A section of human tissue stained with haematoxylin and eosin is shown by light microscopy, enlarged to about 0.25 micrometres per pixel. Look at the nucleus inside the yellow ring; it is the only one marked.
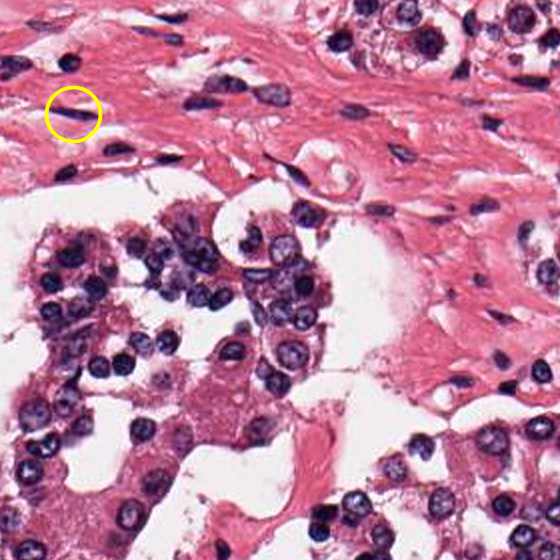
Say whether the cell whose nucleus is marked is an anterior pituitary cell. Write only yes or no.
no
